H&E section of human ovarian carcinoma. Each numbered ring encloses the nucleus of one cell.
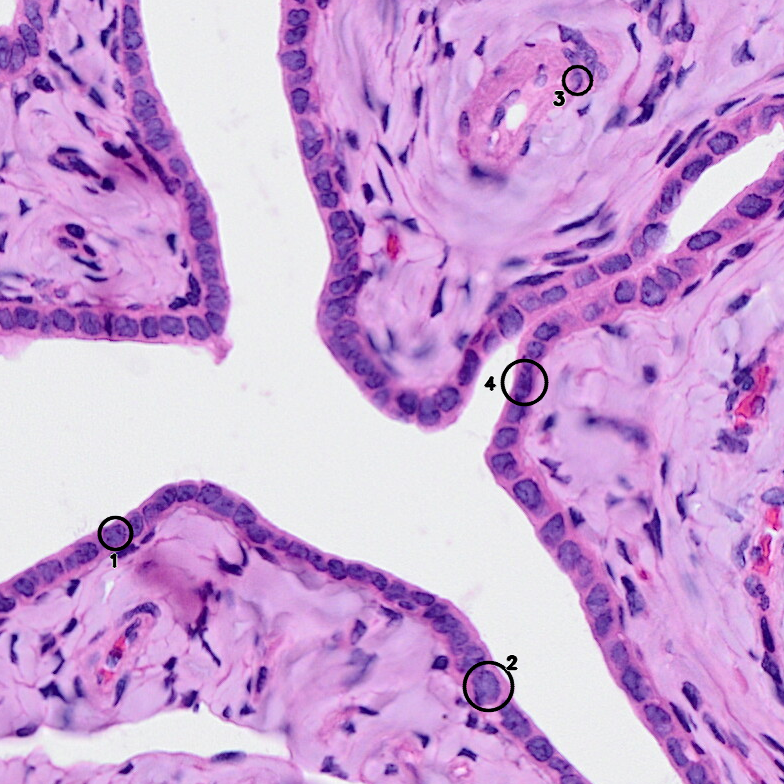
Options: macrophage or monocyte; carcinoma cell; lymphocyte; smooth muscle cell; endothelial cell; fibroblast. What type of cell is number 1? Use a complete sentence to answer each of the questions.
The cell assigned the number 1 is a carcinoma cell.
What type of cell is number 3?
At number 3, the marked cell is a smooth muscle cell.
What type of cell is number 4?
The cell identified by number 4 is a carcinoma cell.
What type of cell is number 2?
Numbered cell 2 is a carcinoma cell in this tissue section.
